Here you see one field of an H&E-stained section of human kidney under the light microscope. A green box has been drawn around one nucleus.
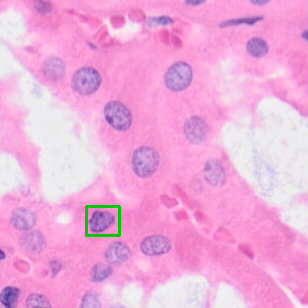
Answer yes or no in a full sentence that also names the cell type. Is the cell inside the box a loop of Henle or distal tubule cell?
No, it is as a proximal tubule cell, not a loop of Henle or distal tubule cell, that the cell inside the box is classified.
